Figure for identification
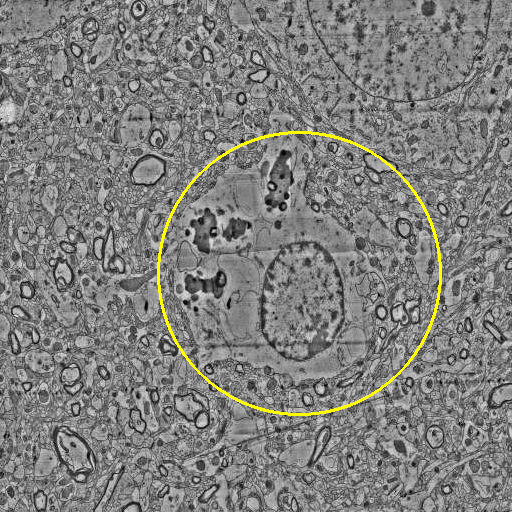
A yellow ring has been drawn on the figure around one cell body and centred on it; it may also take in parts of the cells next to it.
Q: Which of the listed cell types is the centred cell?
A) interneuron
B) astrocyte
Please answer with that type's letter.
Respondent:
B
